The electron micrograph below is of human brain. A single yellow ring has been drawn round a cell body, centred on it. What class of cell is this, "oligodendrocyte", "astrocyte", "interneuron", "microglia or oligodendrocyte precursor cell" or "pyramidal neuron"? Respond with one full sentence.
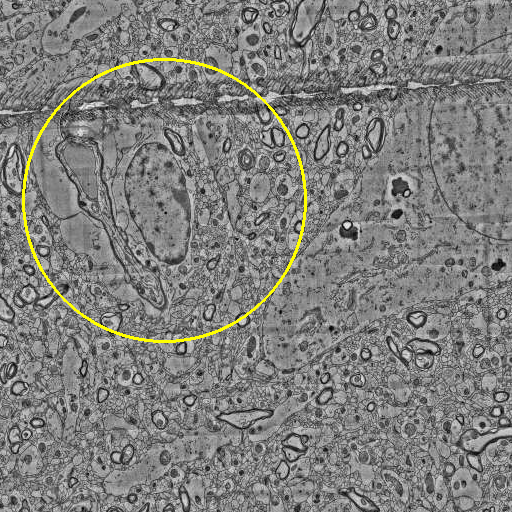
In the micrograph, the cell centred inside the yellow ring is a microglial cell or oligodendrocyte precursor cell.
